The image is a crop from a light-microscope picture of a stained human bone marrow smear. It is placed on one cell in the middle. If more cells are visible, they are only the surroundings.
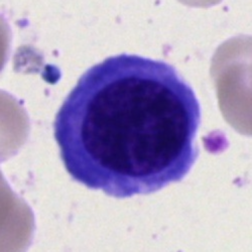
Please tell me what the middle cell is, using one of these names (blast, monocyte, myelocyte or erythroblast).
erythroblast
